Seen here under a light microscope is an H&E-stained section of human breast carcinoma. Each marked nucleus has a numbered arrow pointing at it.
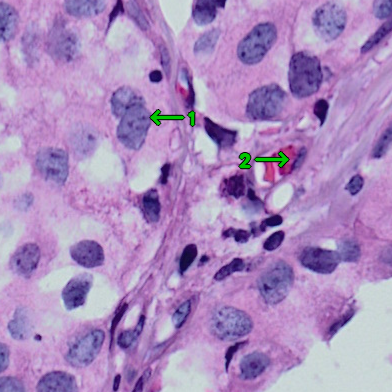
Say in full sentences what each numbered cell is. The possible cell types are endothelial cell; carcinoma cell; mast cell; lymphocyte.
Cell 1 is a carcinoma cell. Cell 2 is an endothelial cell.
